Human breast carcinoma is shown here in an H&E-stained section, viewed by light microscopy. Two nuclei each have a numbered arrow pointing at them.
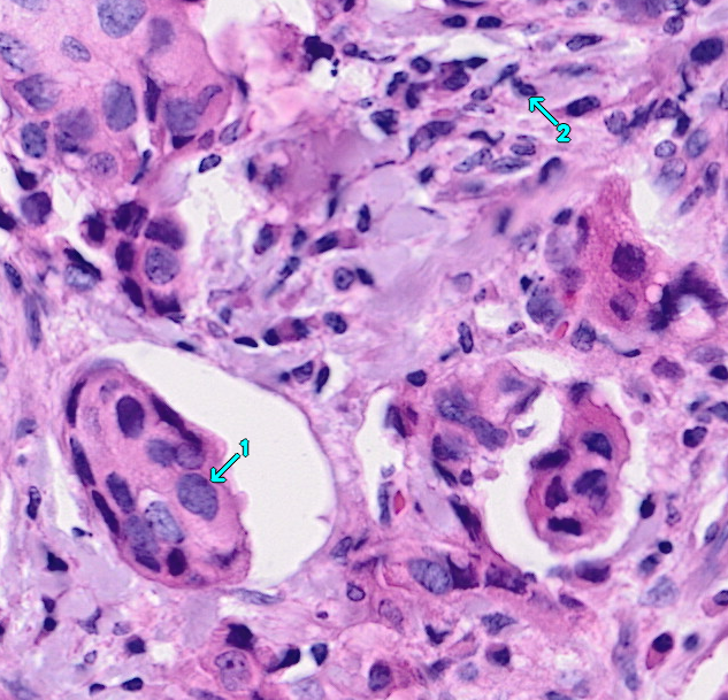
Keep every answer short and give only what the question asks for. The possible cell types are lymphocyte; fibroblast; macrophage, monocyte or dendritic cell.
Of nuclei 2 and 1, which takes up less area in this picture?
2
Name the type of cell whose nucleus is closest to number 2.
lymphocyte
